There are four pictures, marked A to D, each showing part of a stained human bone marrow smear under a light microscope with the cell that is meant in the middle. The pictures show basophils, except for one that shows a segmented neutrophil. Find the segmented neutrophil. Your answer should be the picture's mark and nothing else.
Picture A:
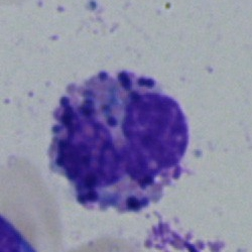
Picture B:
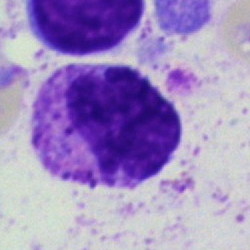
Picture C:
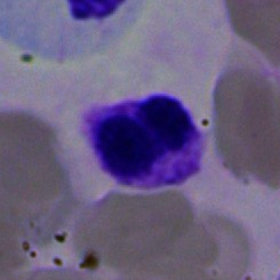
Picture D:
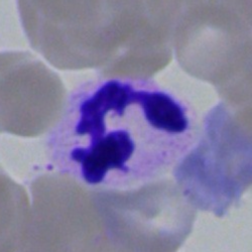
D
